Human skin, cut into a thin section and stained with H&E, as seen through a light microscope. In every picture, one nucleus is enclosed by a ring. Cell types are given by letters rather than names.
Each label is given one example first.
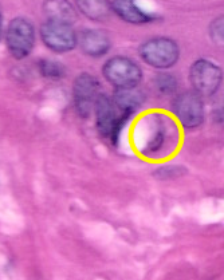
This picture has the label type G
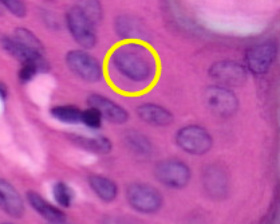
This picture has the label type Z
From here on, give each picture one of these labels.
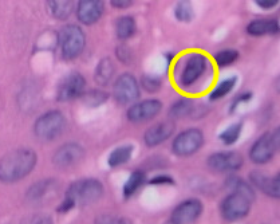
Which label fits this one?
type G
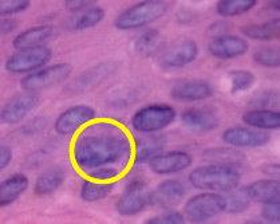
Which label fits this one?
type G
